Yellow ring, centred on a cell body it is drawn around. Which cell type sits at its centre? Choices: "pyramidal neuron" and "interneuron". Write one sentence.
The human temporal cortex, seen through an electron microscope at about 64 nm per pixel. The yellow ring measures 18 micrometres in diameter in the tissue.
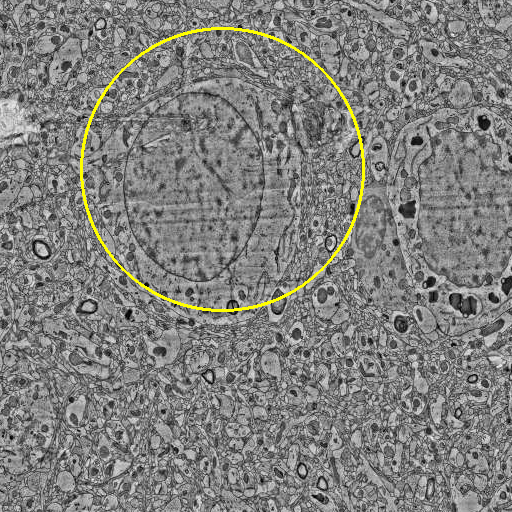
At the centre of the ring sits a pyramidal neuron.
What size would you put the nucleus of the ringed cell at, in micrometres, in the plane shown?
Approximately 12 x 9 micrometres in this plane.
